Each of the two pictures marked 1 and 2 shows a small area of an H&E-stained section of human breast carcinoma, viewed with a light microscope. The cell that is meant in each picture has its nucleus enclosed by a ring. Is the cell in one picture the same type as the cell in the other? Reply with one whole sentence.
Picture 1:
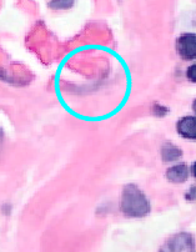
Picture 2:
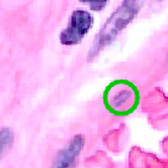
Yes, both are endothelial cells.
